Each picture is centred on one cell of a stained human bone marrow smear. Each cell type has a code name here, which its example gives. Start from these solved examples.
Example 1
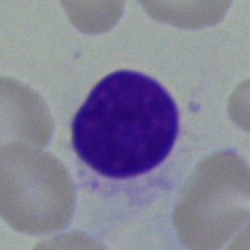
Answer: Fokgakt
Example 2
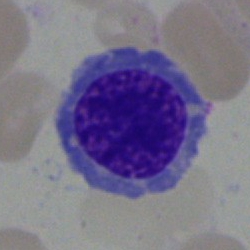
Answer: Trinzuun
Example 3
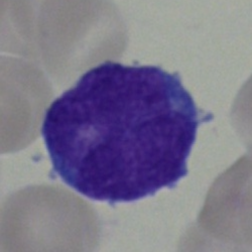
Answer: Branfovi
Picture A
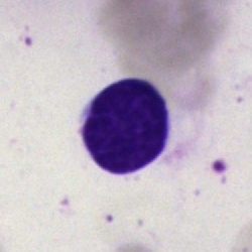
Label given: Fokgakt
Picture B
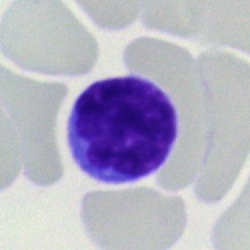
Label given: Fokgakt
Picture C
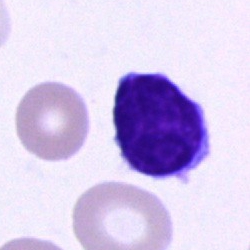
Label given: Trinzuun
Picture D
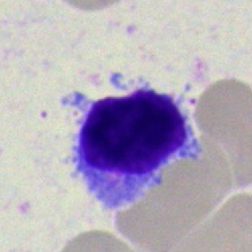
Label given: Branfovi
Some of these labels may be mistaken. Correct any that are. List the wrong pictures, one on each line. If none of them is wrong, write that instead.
C: Fokgakt, not Trinzuun
D: Fokgakt, not Branfovi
